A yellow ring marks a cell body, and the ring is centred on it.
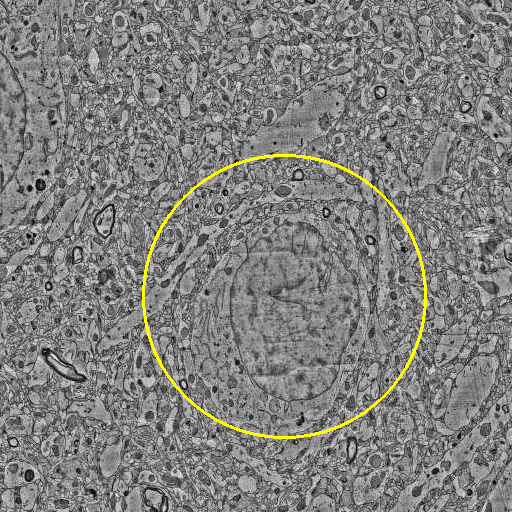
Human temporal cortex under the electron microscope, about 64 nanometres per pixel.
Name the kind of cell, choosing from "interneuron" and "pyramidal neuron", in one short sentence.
The marked cell body belongs to an interneuron.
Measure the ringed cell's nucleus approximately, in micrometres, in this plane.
Approximately 12 micrometres long and 8 micrometres wide, in this plane.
